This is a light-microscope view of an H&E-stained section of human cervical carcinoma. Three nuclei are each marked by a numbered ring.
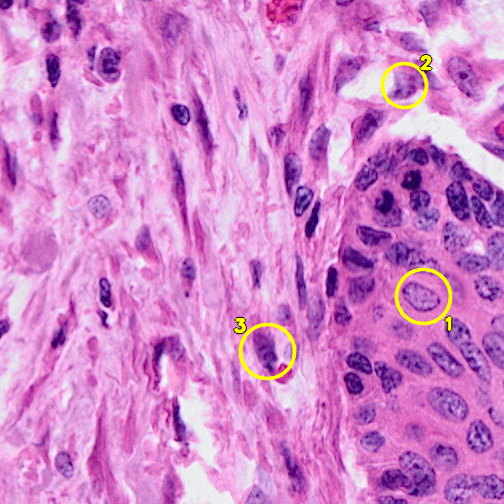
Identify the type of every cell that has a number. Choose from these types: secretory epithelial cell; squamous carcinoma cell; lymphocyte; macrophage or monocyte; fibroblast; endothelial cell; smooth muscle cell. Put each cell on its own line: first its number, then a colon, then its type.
1: squamous carcinoma cell
2: fibroblast
3: endothelial cell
